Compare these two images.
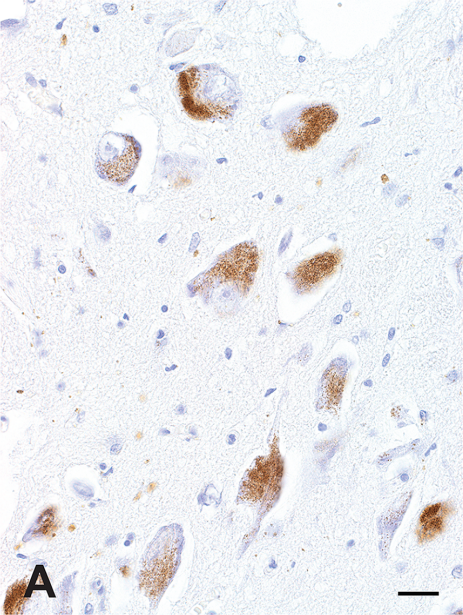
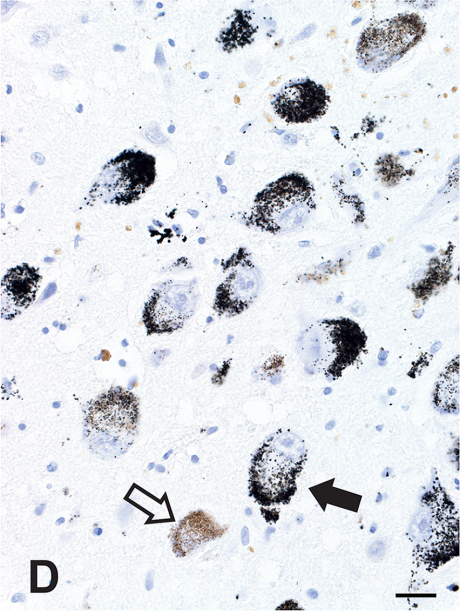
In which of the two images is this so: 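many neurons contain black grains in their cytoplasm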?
The second image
